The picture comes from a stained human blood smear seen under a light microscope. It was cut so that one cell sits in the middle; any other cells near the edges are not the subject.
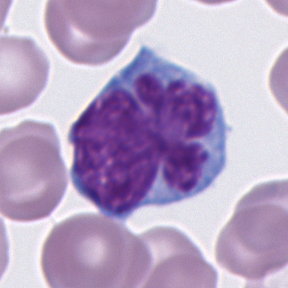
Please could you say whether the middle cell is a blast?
yes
